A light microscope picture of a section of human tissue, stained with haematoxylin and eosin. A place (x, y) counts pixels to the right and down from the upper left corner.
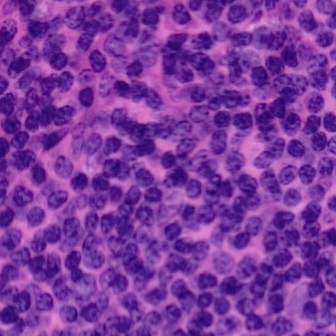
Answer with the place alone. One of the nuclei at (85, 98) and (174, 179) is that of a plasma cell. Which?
(85, 98)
